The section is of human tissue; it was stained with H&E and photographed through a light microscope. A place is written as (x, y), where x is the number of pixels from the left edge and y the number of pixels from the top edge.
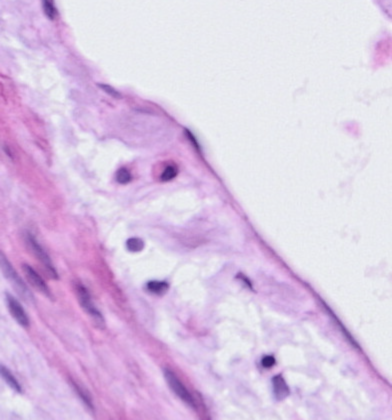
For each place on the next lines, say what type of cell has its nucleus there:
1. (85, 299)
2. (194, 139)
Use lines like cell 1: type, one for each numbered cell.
cell 1: smooth muscle cell
cell 2: endothelial cell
